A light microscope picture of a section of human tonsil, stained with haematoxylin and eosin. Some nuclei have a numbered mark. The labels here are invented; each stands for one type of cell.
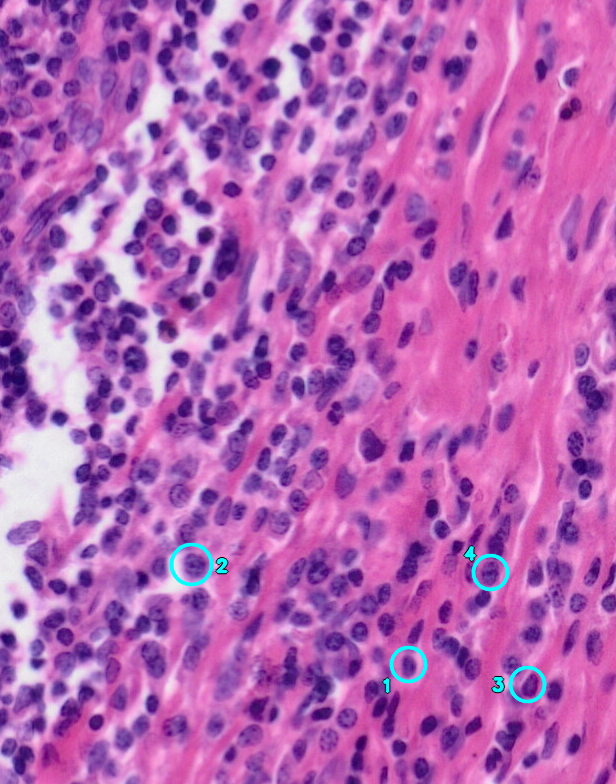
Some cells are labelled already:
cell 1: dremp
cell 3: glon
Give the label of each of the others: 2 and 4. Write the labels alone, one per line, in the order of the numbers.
glon
glon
